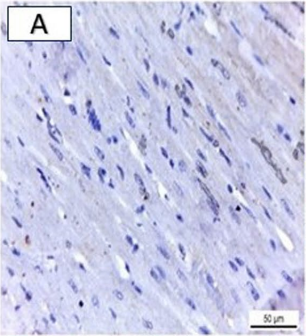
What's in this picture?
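This is heart muscle with the cardiac muscle fibers cut lengthwise, running in parallel diagonally across the field. Elongated oval blue nuclei sit within and between the fibers, and the cytoplasm is pale with hardly any brown colour.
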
